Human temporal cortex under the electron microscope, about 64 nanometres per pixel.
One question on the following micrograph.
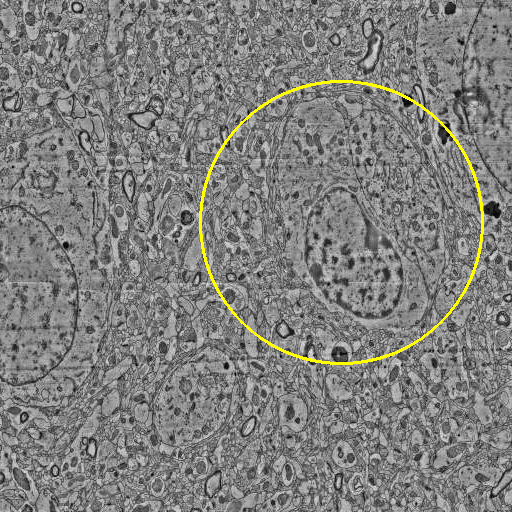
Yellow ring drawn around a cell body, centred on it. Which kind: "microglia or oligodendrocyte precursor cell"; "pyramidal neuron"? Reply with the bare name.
microglia or oligodendrocyte precursor cell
